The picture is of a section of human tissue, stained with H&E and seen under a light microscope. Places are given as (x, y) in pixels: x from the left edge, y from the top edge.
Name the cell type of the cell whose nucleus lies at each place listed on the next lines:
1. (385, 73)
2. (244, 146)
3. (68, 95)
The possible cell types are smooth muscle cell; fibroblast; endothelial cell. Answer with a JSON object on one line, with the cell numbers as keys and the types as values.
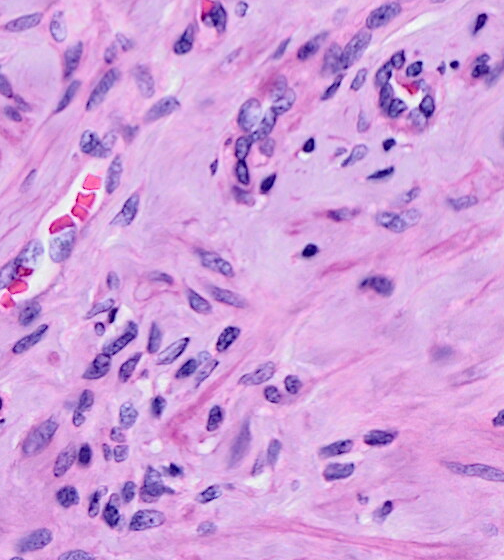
{"1": "endothelial cell", "2": "endothelial cell", "3": "smooth muscle cell"}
